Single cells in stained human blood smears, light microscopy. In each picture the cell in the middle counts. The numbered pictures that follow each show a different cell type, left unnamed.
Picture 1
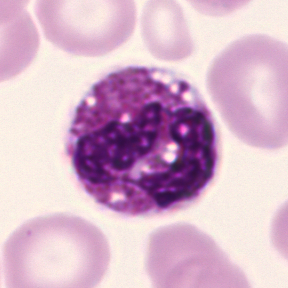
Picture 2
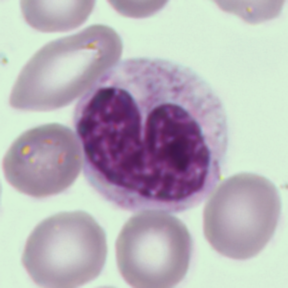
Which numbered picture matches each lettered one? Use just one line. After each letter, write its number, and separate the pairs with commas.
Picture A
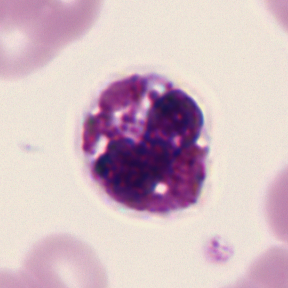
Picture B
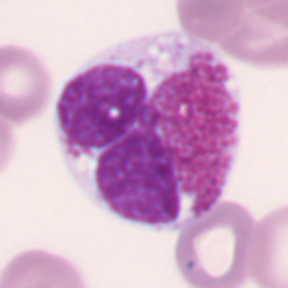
A 1, B 1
